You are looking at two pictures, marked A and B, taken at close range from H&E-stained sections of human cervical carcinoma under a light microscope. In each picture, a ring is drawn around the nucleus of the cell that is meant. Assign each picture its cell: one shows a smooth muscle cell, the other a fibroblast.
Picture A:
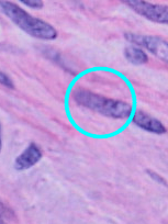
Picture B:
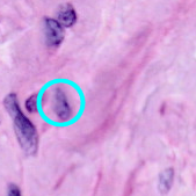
A: smooth muscle cell
B: fibroblast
